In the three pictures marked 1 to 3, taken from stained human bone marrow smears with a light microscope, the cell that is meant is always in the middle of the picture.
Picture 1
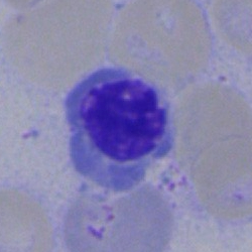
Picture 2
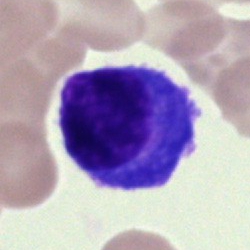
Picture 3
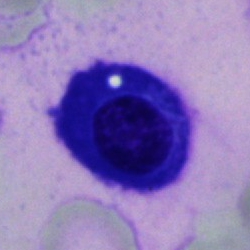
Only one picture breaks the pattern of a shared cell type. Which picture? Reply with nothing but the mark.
1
